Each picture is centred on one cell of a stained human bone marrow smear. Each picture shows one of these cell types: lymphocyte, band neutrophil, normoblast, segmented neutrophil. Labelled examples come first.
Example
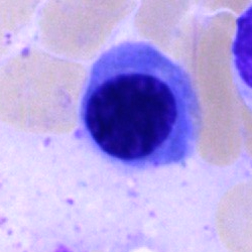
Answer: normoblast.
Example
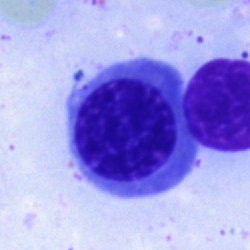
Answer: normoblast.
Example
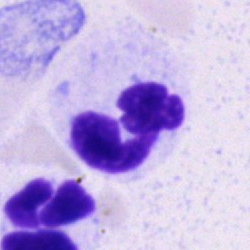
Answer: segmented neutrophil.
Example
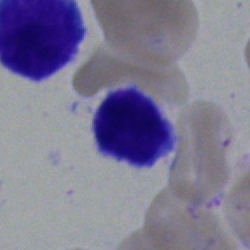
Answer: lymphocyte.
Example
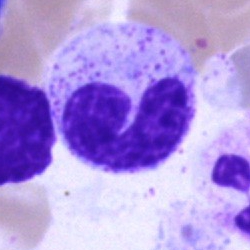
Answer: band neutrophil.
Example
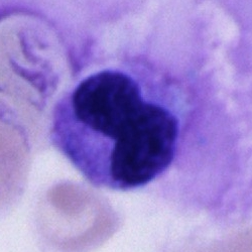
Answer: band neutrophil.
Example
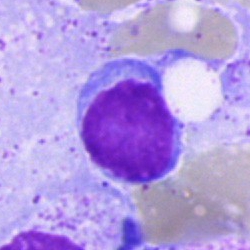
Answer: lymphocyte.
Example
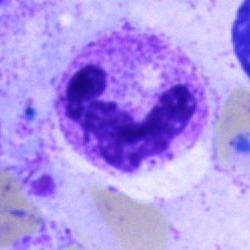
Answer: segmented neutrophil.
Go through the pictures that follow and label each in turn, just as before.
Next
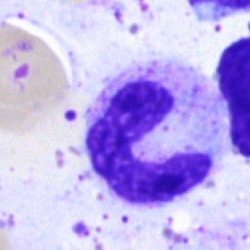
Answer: band neutrophil.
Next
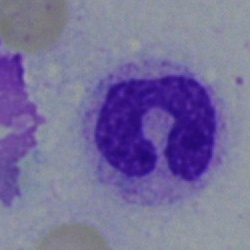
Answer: band neutrophil.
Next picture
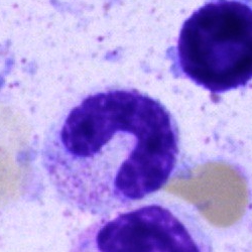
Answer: band neutrophil.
